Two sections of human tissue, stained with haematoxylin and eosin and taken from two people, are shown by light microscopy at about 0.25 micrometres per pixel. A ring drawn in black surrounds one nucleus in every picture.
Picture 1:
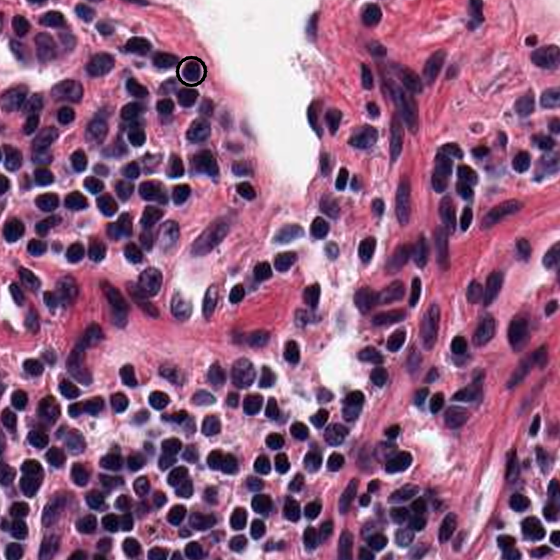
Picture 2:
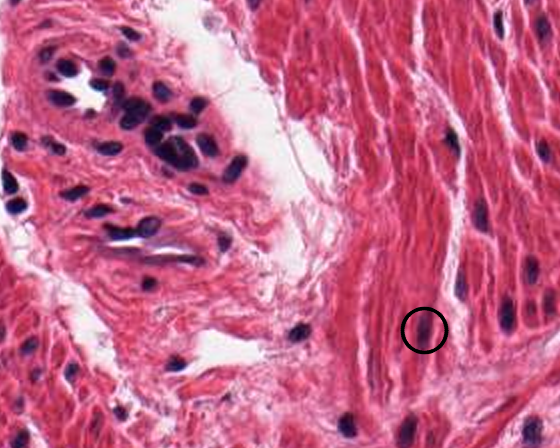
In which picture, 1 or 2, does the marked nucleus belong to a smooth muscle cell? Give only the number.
2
